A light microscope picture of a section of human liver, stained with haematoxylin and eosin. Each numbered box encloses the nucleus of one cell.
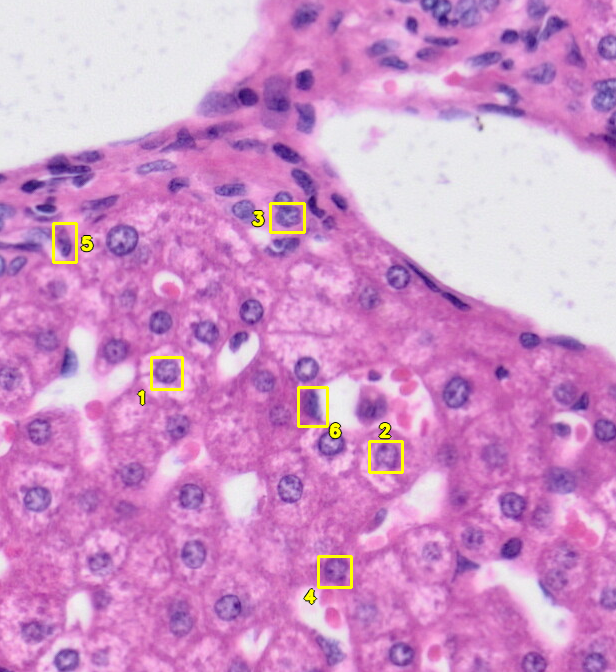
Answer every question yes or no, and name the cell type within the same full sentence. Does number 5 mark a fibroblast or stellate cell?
Yes, cell number 5 is identified here as a fibroblast or stellate cell.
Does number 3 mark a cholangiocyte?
Yes, the cell referred to as number 3 is a cholangiocyte.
